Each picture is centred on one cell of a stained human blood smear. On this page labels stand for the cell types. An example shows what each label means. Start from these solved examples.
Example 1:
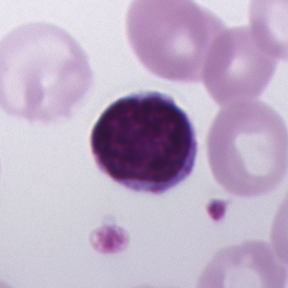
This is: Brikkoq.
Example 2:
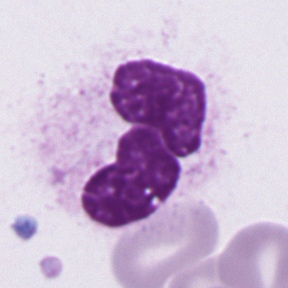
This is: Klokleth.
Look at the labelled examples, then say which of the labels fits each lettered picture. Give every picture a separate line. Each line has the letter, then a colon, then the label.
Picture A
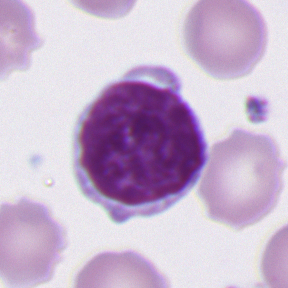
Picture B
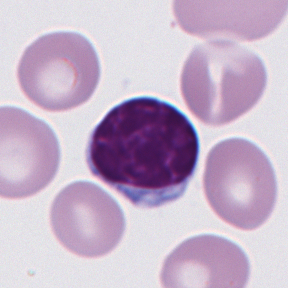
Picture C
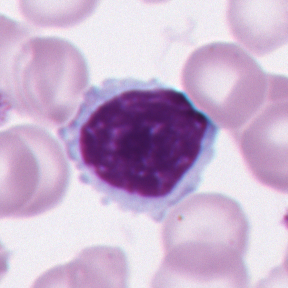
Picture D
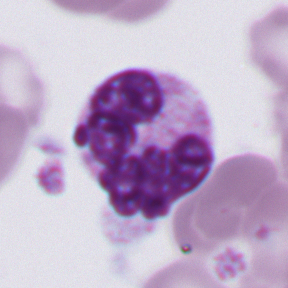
A: Brikkoq.
B: Brikkoq.
C: Brikkoq.
D: Klokleth.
